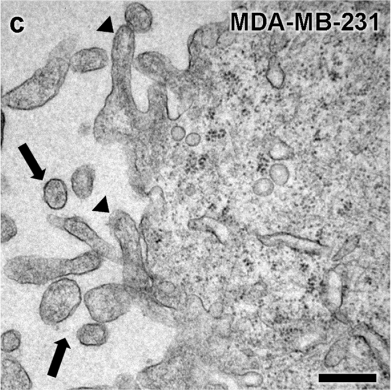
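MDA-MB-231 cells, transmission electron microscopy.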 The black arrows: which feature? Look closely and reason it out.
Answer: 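Round, closed membrane-bound profiles lie free beside the cell edge. The answer: vesicular structures.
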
